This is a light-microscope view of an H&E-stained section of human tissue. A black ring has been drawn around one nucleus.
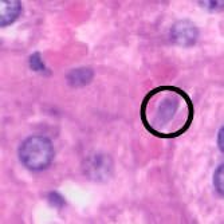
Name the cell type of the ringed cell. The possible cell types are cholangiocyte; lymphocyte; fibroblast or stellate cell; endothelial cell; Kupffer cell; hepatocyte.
Kupffer cell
